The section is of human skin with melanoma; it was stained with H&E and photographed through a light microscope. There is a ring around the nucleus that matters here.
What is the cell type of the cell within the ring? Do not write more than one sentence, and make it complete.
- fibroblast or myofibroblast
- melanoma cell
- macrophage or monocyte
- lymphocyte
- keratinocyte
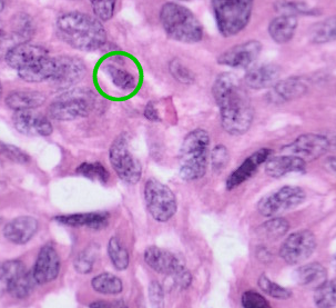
As a matter of cell type, the cell within the ring is a melanoma cell.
